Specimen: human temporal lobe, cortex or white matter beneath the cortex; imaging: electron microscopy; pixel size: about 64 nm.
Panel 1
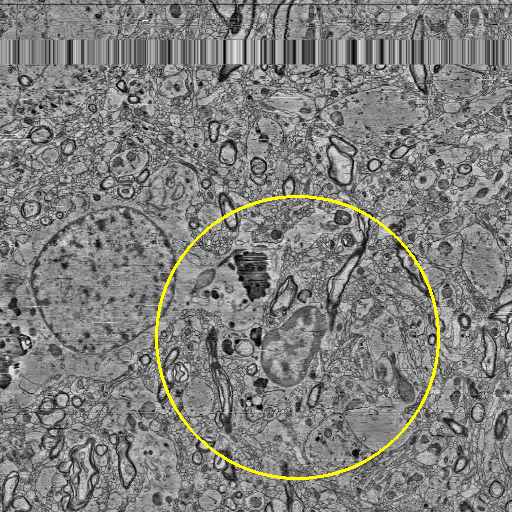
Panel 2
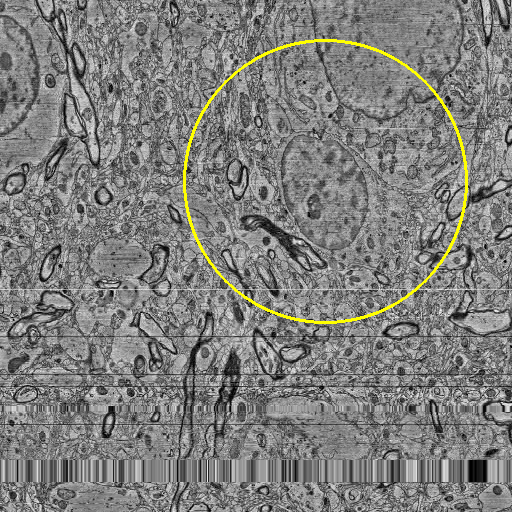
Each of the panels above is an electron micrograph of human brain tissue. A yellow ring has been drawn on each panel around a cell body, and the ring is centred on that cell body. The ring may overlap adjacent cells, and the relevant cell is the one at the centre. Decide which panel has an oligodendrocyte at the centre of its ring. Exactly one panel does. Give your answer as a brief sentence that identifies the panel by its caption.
Panel 2 is the one with it at the centre of the ring.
